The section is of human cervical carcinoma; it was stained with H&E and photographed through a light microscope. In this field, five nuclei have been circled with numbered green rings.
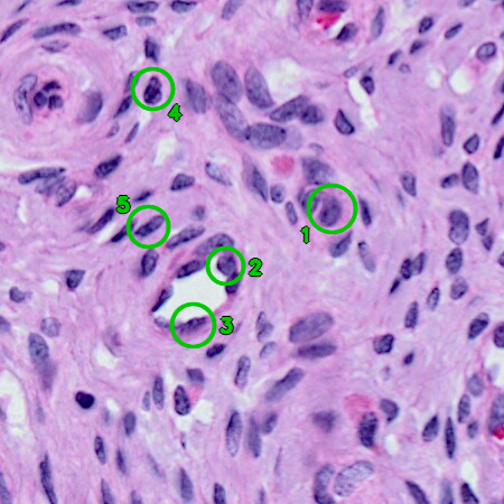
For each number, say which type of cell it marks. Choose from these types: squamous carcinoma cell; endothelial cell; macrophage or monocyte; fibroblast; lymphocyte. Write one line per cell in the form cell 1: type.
cell 1: endothelial cell
cell 2: endothelial cell
cell 3: endothelial cell
cell 4: lymphocyte
cell 5: fibroblast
